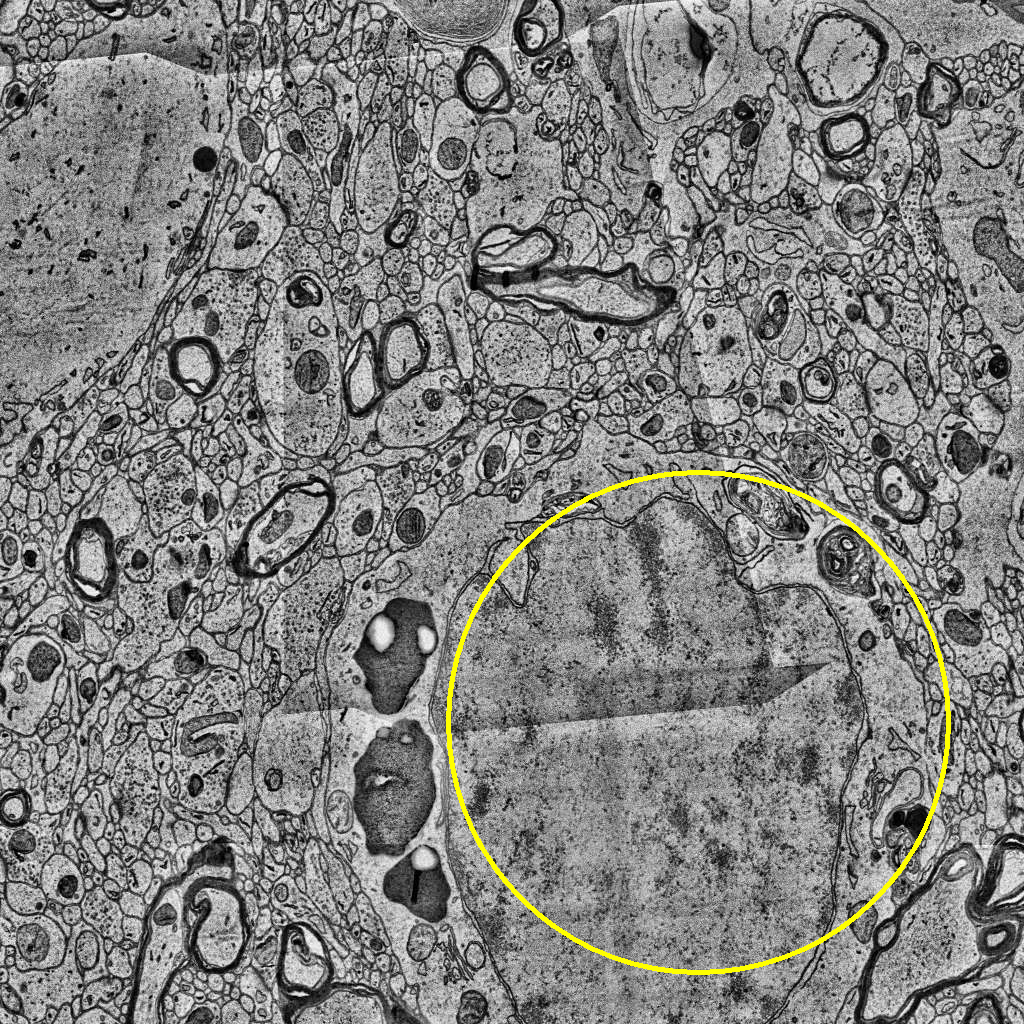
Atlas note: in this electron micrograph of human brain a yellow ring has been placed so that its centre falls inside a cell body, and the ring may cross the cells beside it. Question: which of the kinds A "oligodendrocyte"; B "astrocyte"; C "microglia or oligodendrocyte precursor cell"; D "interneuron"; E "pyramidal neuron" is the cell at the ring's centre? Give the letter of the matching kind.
D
